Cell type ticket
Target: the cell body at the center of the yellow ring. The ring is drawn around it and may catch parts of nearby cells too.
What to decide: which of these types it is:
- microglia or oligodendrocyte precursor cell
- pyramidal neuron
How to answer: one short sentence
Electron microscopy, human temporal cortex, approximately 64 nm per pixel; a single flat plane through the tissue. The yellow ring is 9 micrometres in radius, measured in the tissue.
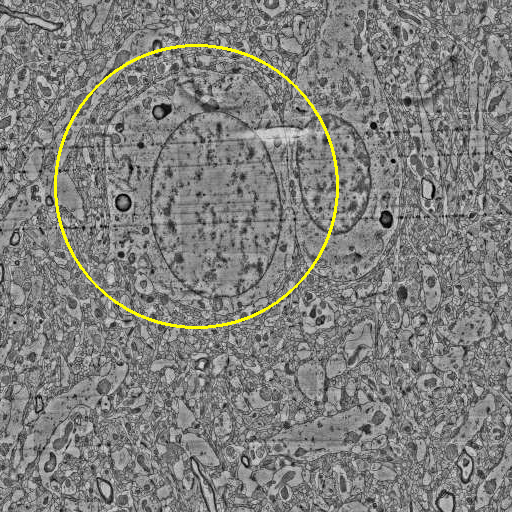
The cell at the center of the ring is a pyramidal neuron.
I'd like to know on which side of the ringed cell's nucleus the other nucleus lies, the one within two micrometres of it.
The other nucleus is found to the right of it.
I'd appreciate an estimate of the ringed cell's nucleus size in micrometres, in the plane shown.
In this plane the nucleus spans approximately 12 by 8 micrometers.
